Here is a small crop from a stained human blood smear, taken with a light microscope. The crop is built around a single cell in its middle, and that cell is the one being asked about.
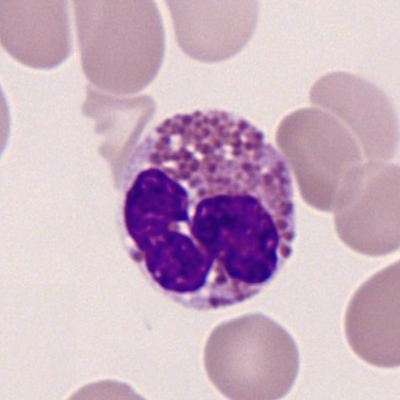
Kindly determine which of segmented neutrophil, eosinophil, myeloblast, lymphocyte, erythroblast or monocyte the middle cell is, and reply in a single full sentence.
At the crop's centre, the cell is an eosinophil.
